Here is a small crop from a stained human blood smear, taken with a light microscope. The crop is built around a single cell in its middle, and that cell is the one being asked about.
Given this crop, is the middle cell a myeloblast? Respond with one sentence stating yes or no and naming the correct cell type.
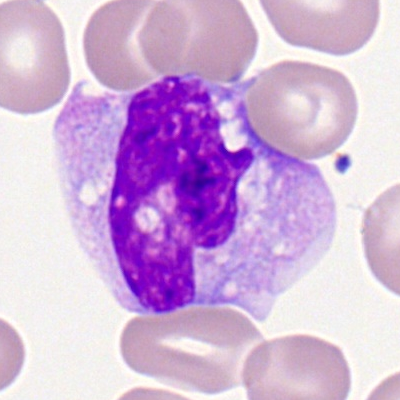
No, the cell placed at the center is a monocyte rather than a myeloblast.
